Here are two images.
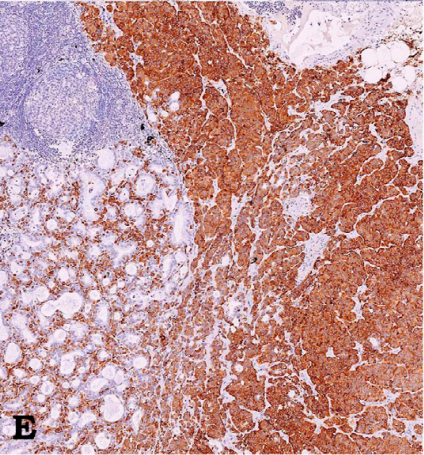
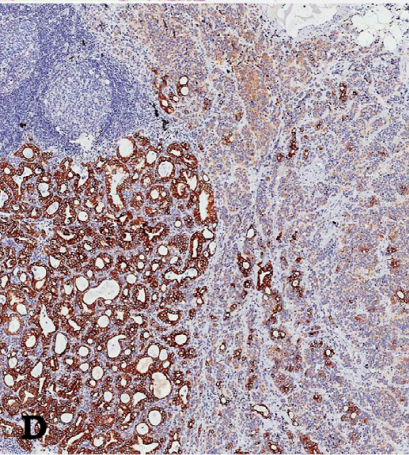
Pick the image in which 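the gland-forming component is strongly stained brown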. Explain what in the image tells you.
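The second image. First image: the area with gland lumens is pale, the solid sheets are brown. Second image: the gland lumens are lined by strong brown stain, the solid areas are pale.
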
